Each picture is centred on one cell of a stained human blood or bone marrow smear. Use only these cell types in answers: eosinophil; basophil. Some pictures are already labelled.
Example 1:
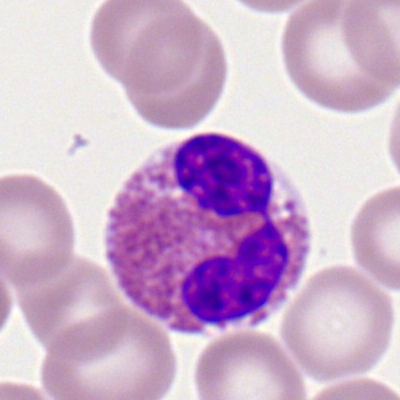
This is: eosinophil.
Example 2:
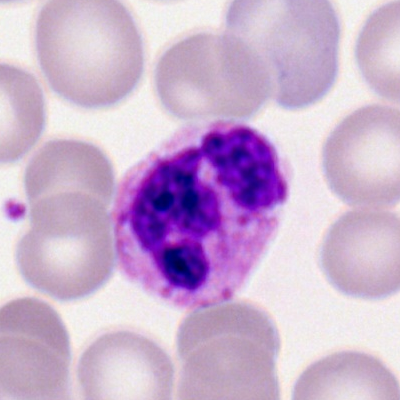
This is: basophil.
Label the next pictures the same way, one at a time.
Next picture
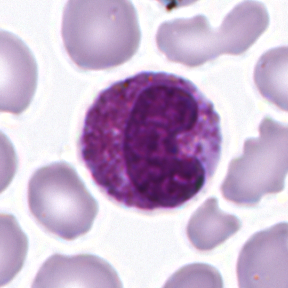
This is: eosinophil.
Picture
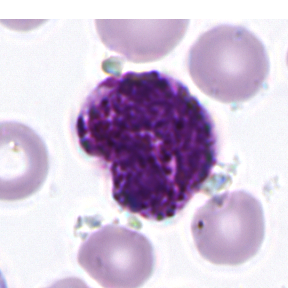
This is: basophil.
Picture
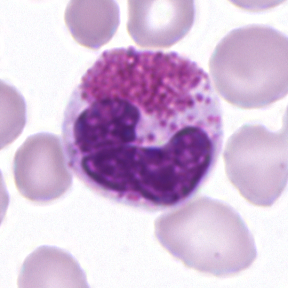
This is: eosinophil.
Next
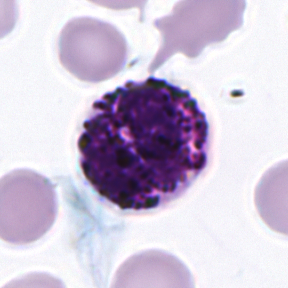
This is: basophil.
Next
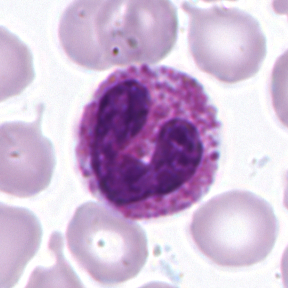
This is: eosinophil.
